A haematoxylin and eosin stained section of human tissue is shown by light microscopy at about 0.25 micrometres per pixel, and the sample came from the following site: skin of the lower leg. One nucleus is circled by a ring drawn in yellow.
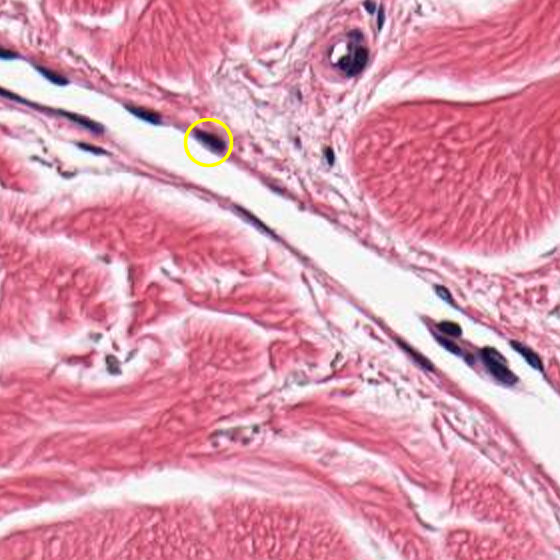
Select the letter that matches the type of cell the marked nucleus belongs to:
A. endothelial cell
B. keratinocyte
A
